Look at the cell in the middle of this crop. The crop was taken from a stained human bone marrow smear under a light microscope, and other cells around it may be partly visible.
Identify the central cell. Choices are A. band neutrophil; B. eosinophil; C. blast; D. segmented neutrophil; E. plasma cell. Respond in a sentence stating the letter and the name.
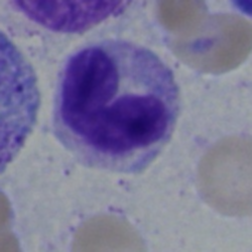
The central cell, a band neutrophil, is correctly identified by option A.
